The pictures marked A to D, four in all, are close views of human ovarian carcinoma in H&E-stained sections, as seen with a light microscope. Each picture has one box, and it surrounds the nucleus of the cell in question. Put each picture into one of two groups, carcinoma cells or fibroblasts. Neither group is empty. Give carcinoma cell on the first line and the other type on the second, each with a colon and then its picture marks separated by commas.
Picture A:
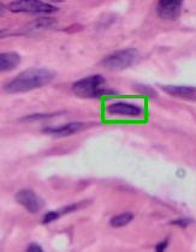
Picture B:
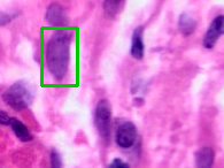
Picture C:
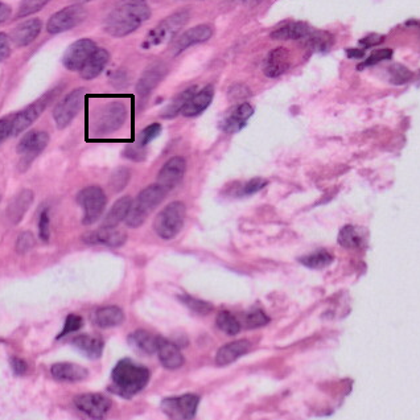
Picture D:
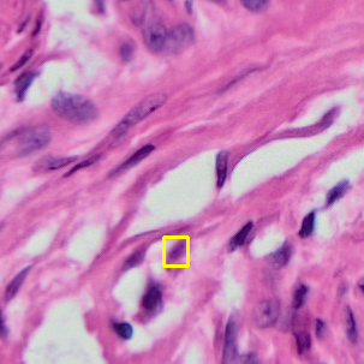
carcinoma cell: C
fibroblast: A, B, D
